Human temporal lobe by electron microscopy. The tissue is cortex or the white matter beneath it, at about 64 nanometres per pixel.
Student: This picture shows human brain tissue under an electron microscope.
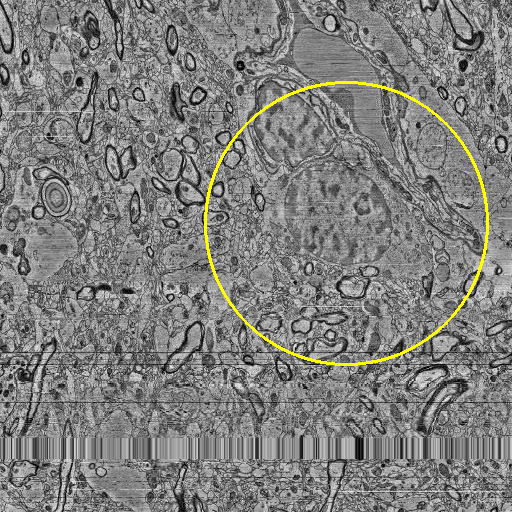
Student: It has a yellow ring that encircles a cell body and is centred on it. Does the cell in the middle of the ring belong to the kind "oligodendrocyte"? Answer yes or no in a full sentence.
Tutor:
Yes, the cell in the middle of the ring in this picture is of that kind.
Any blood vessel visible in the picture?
Yes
